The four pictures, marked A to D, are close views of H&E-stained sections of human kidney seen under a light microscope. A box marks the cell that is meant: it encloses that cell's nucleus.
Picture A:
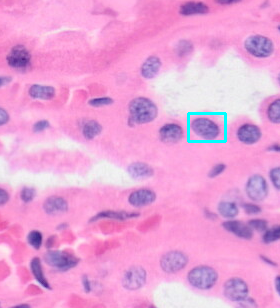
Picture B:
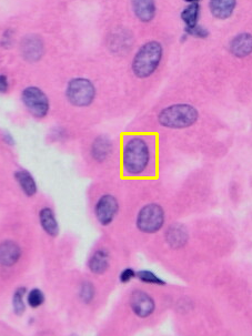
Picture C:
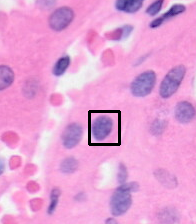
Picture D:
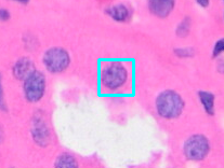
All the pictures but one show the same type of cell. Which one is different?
B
